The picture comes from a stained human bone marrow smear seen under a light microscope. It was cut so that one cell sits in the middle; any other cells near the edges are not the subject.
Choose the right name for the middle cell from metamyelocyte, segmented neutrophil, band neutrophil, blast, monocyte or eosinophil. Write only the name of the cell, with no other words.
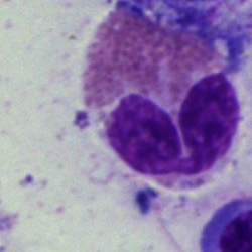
eosinophil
